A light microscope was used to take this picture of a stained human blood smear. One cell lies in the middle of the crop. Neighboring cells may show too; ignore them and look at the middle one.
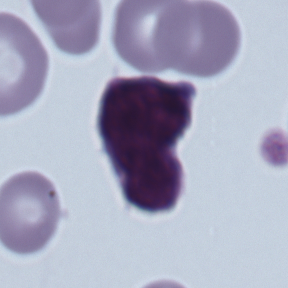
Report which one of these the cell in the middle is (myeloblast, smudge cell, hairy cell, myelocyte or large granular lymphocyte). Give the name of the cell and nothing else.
myeloblast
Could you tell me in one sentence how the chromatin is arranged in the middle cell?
The chromatin in this nucleus is coarsely clumped.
